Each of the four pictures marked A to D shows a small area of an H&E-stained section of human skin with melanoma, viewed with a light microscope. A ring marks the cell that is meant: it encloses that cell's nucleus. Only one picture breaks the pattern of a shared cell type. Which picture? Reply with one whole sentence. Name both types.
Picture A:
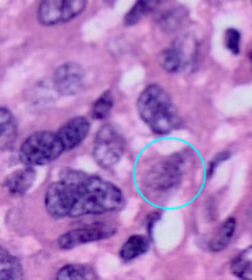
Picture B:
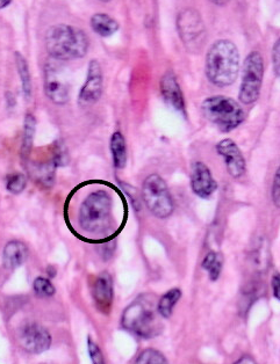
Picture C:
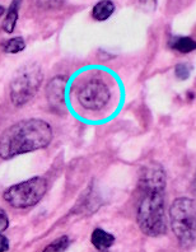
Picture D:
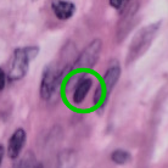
The different one is picture D; it shows an endothelial cell, whereas all the others show melanoma cells.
